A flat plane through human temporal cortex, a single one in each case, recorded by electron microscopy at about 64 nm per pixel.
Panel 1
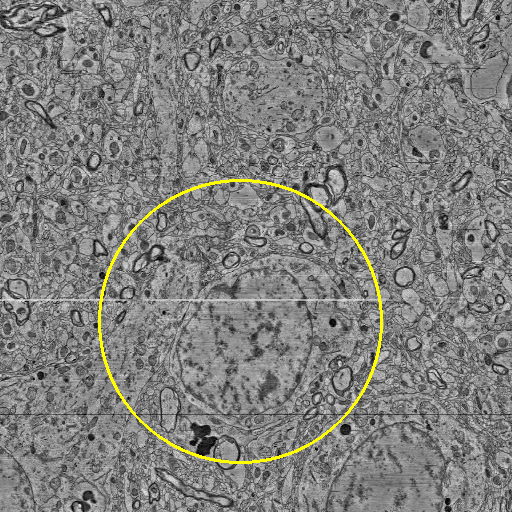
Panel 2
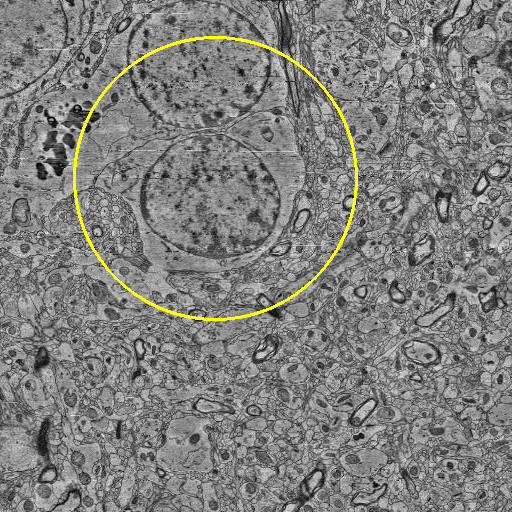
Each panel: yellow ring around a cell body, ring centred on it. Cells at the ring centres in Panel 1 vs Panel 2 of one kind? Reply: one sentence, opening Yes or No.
No, Panel 1 and Panel 2 have cells of two kinds at the ring centres.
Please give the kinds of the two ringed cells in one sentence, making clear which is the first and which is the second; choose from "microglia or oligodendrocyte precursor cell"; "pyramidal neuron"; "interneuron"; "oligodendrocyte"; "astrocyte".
In the second picture the ringed cell is an astrocyte; in the first it is an interneuron.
